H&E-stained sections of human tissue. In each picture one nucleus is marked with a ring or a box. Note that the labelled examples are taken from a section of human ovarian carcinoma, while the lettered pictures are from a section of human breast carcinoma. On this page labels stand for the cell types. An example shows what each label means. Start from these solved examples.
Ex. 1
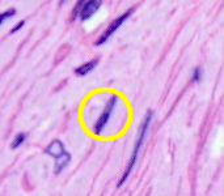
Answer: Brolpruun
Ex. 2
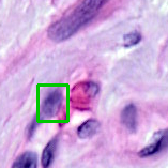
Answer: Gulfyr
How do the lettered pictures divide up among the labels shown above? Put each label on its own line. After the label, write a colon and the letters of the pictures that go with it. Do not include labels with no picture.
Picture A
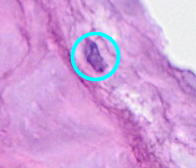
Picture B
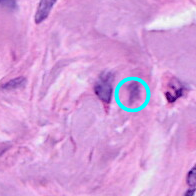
Brolpruun: A, B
